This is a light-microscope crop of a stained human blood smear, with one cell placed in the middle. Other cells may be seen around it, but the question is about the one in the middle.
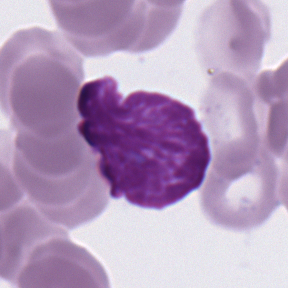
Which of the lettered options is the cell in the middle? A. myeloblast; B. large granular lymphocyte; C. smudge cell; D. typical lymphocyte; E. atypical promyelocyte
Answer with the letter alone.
C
